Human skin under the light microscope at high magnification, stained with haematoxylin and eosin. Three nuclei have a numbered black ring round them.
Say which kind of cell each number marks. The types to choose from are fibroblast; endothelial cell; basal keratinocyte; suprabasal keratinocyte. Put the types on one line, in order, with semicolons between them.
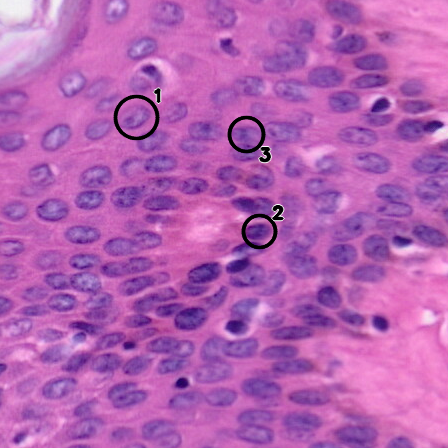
suprabasal keratinocyte; basal keratinocyte; suprabasal keratinocyte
